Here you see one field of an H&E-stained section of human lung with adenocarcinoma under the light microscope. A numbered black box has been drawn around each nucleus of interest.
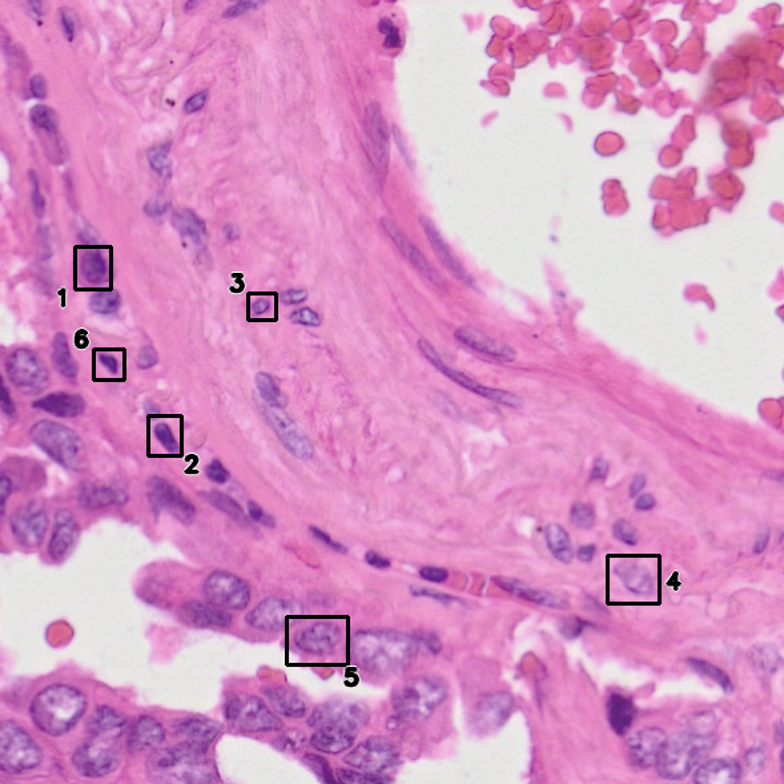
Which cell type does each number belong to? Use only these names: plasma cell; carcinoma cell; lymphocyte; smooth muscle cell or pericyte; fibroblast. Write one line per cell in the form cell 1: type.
cell 1: plasma cell
cell 2: lymphocyte
cell 3: smooth muscle cell or pericyte
cell 4: fibroblast
cell 5: carcinoma cell
cell 6: lymphocyte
